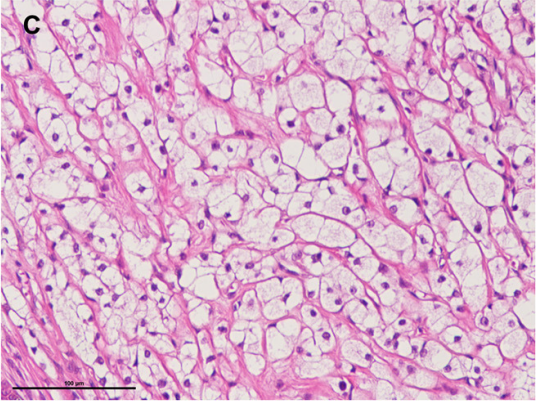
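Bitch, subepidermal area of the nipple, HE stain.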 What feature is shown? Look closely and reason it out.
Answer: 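Thin pink fibrous strands run between groups of pale cells. Strands contain elongated spindle-shaped nuclei. So: fine fibrovascular stroma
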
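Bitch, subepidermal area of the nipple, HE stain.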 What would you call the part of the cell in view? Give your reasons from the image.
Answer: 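Cells are large with wide pale cytoplasm. Cytoplasm is filled with many small clear vacuoles. Nuclei are small and round relative to cell size. That points to this answer: abundant vacuolated cytoplasm.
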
